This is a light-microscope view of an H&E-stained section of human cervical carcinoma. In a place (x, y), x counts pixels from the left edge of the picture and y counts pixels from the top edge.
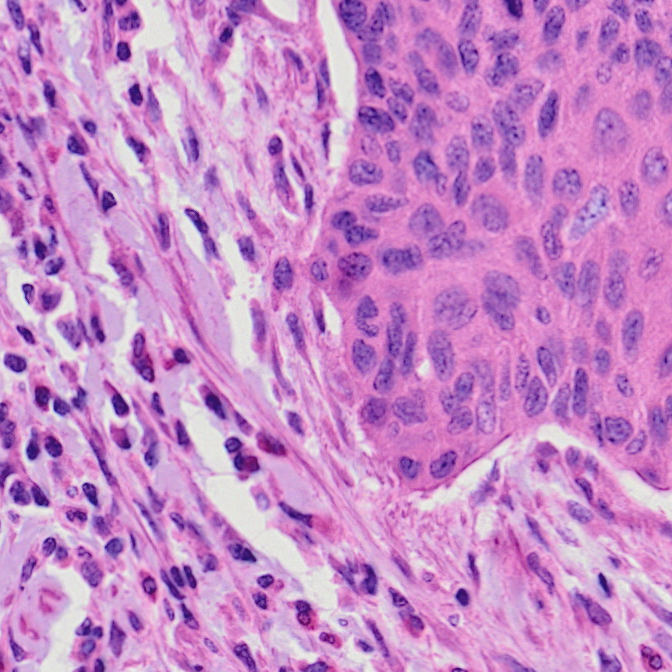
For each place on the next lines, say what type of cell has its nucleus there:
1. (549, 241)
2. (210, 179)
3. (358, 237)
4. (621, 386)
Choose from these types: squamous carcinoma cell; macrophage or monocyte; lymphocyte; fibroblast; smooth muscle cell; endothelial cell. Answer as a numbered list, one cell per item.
1. squamous carcinoma cell
2. fibroblast
3. squamous carcinoma cell
4. squamous carcinoma cell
